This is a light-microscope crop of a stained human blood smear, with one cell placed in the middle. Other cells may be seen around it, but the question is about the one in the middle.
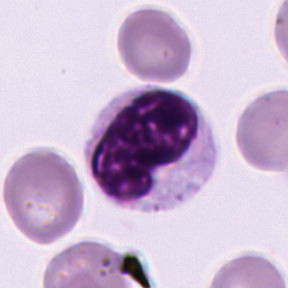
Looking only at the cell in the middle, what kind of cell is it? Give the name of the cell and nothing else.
band neutrophil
